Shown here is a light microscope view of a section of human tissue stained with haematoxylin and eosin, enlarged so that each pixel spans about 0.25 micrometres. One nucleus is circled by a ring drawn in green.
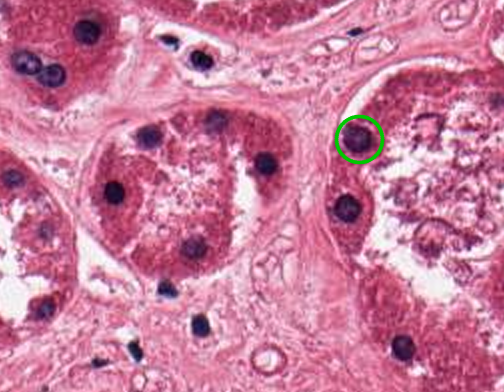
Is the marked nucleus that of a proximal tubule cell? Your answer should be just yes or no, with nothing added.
yes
